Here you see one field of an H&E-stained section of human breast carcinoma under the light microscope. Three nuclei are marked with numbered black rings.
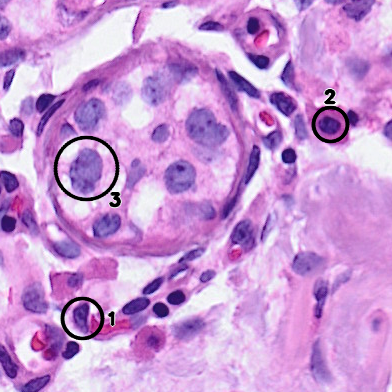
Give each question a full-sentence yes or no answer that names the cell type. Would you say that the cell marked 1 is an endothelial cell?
Yes, the cell tagged with number 1 is an endothelial cell.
